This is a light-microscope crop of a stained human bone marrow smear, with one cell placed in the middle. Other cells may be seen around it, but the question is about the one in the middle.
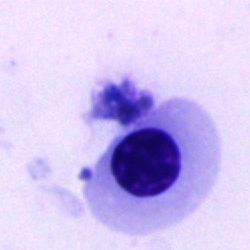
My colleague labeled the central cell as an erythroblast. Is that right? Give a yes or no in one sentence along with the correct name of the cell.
Yes, this central cell is an erythroblast.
